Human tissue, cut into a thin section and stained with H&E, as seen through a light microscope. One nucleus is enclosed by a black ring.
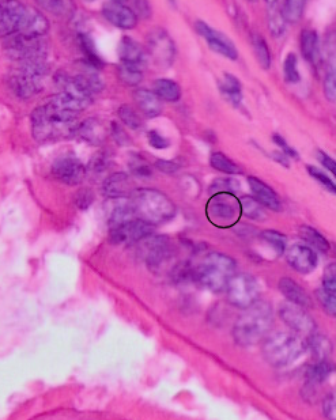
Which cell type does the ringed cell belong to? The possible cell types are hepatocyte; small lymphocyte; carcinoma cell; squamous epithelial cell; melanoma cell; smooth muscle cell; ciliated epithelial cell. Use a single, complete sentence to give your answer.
With respect to cell type, the ringed cell is a ciliated epithelial cell.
